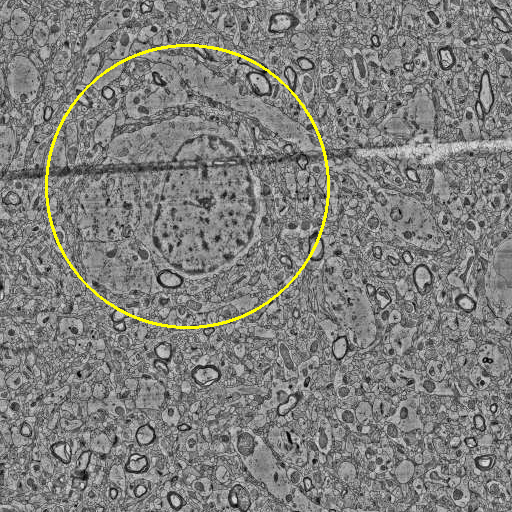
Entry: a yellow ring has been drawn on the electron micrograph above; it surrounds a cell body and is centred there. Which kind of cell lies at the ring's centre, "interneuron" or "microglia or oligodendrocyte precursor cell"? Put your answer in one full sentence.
The cell sitting at the ring's centre is a microglial cell or oligodendrocyte precursor cell in the micrograph above.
